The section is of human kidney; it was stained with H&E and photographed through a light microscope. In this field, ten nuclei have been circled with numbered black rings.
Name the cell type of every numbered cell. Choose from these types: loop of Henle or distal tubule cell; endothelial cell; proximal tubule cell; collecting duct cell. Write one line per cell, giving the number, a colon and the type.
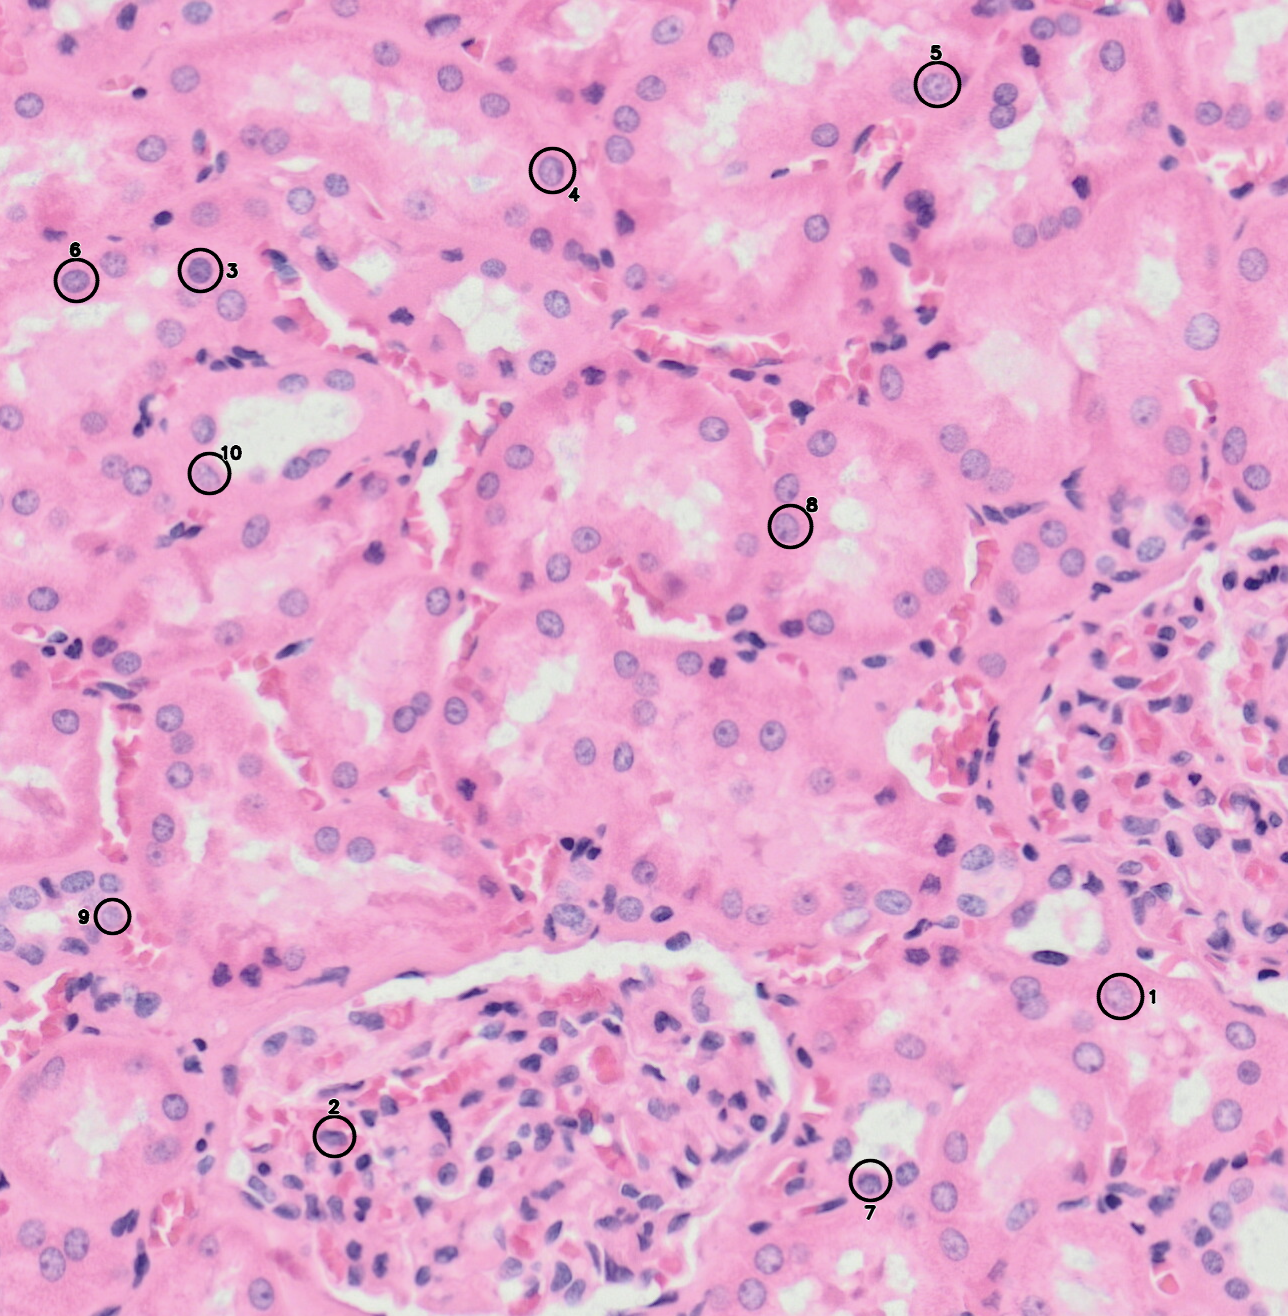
1: proximal tubule cell
2: endothelial cell
3: proximal tubule cell
4: proximal tubule cell
5: proximal tubule cell
6: proximal tubule cell
7: loop of Henle or distal tubule cell
8: proximal tubule cell
9: collecting duct cell
10: loop of Henle or distal tubule cell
